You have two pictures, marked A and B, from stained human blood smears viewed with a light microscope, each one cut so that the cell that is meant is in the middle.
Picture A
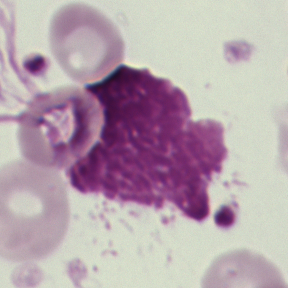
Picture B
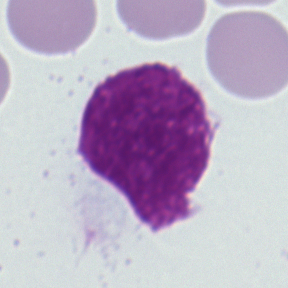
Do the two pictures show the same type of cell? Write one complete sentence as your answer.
Yes; the cells in both pictures are smudge cells.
